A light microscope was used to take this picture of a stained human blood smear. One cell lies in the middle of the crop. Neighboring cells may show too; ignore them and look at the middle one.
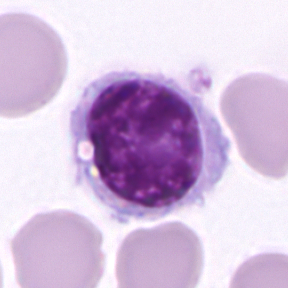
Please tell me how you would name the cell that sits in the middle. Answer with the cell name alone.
plasma cell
